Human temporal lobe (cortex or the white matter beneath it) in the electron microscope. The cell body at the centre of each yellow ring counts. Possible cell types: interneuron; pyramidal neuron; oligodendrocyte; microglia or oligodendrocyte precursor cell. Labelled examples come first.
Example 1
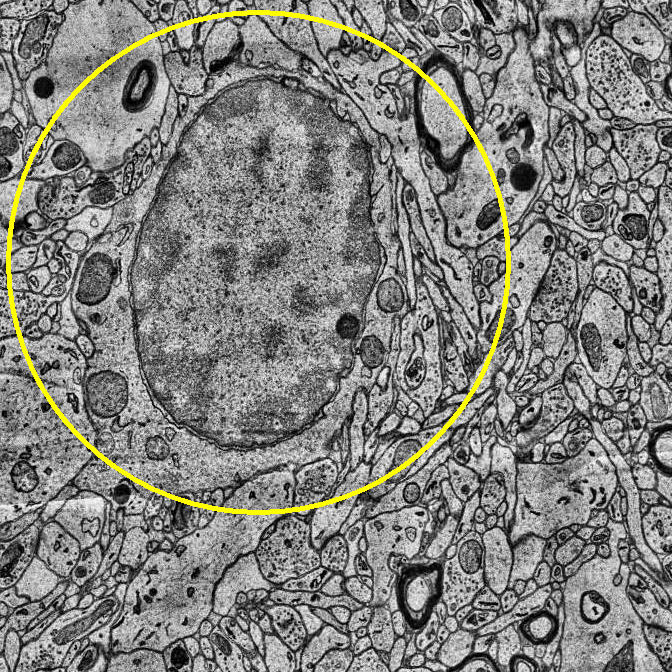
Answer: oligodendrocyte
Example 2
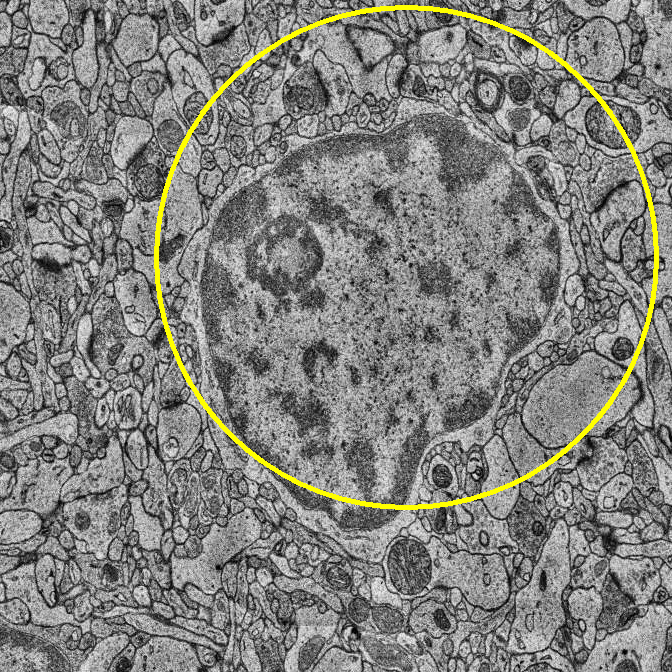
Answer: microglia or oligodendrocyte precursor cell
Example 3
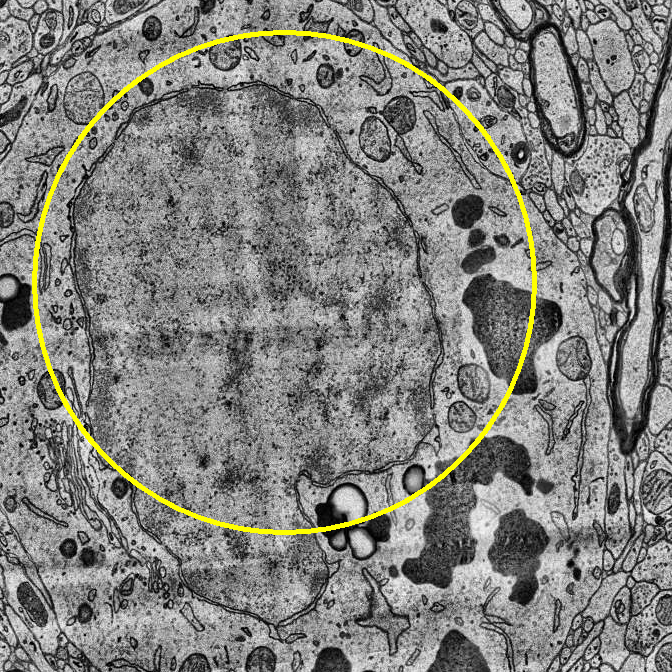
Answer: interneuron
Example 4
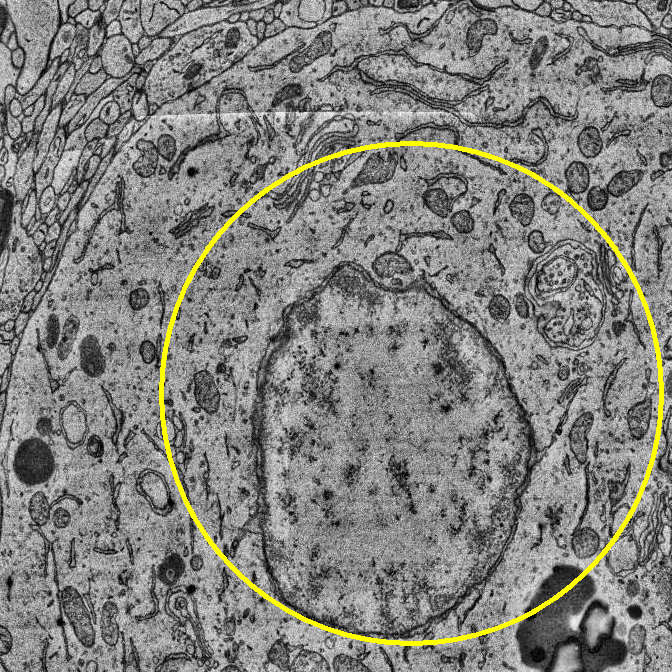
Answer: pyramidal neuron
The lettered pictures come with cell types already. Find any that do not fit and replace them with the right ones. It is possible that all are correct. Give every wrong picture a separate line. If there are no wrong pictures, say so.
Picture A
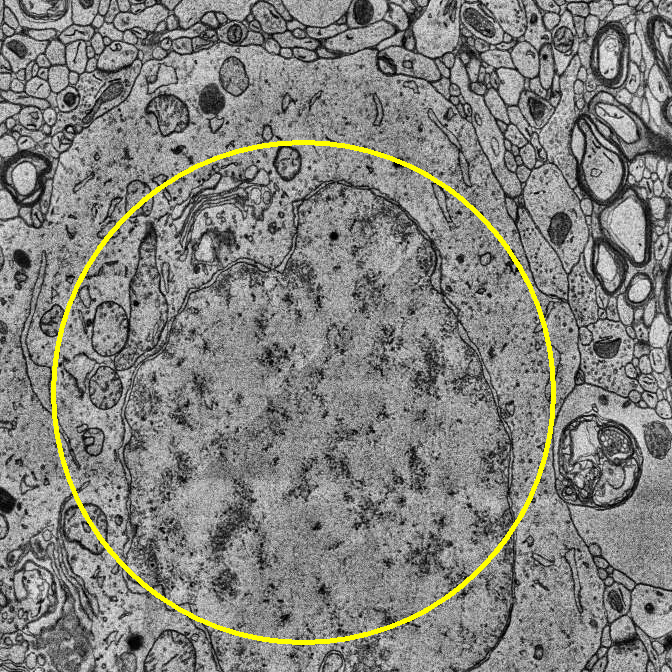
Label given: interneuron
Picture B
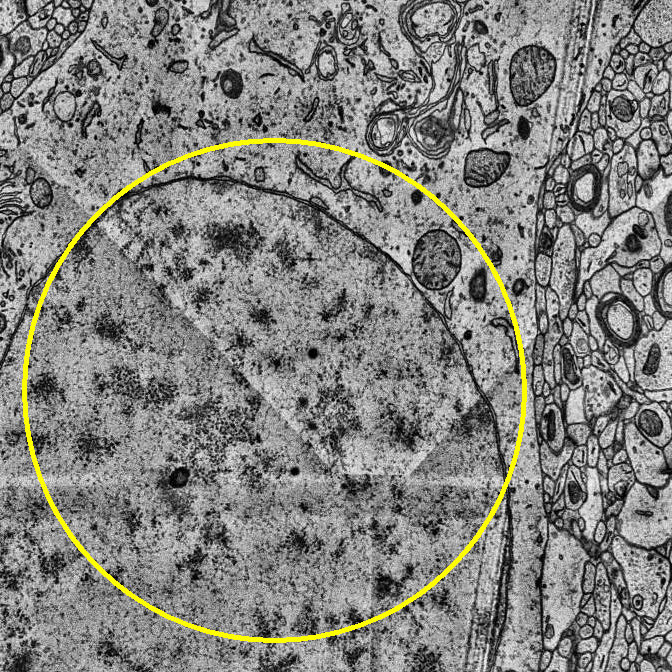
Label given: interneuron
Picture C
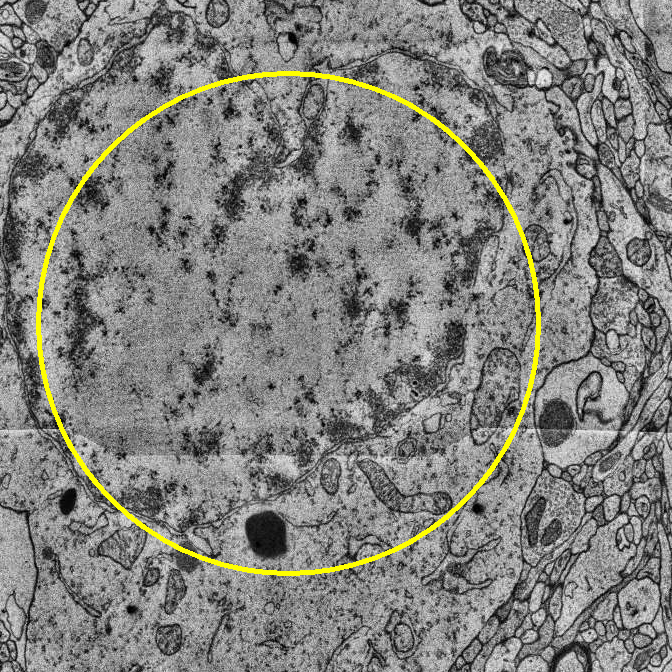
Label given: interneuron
B should be pyramidal neuron, not interneuron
